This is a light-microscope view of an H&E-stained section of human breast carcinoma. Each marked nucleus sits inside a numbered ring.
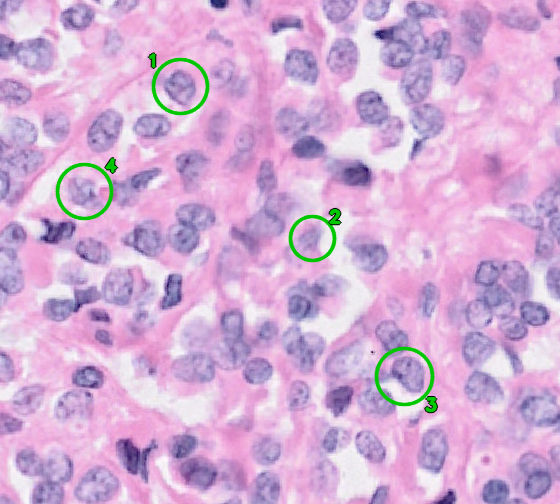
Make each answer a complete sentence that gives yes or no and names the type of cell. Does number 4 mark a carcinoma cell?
No, the cell denoted 4 is an endothelial cell rather than a carcinoma cell.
